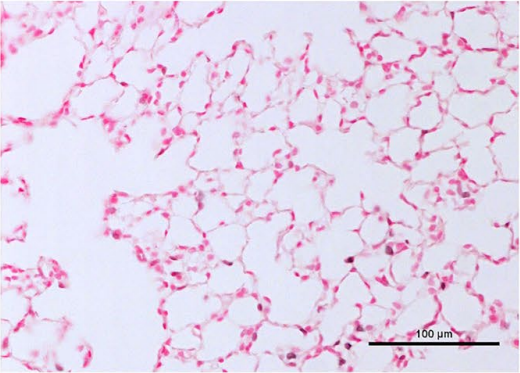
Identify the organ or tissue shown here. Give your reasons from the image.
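Thin septa enclose many empty, rounded air spaces. The walls are only one or two cells thick.
Answer: lungs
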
